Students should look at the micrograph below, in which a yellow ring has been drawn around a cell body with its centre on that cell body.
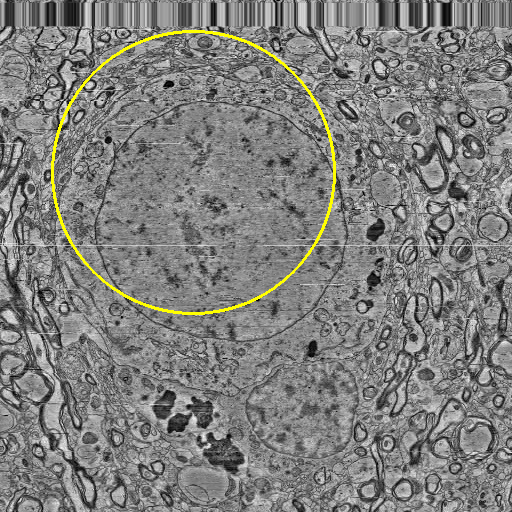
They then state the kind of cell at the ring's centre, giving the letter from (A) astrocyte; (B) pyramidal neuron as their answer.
B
